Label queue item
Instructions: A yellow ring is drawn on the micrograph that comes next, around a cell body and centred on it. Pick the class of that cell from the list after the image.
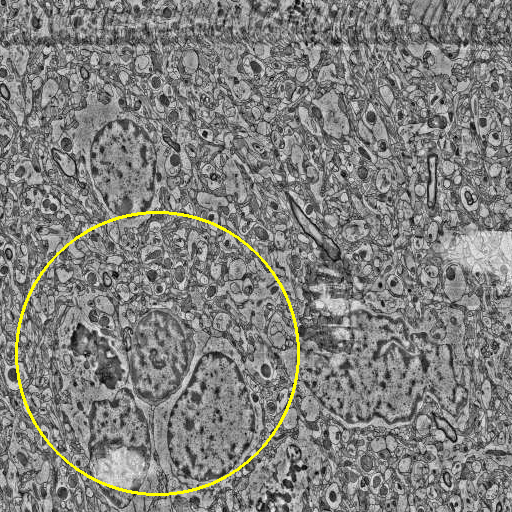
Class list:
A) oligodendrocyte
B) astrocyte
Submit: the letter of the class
A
